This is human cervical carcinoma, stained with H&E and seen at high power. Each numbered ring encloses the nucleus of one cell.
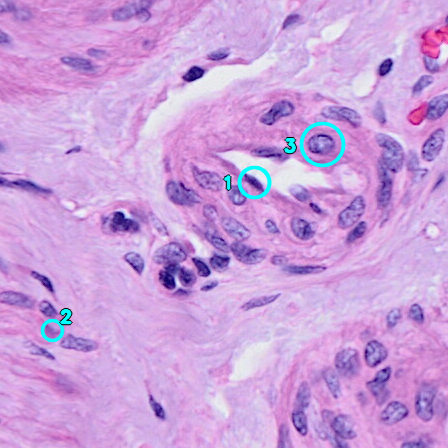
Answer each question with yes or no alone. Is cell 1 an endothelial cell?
yes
